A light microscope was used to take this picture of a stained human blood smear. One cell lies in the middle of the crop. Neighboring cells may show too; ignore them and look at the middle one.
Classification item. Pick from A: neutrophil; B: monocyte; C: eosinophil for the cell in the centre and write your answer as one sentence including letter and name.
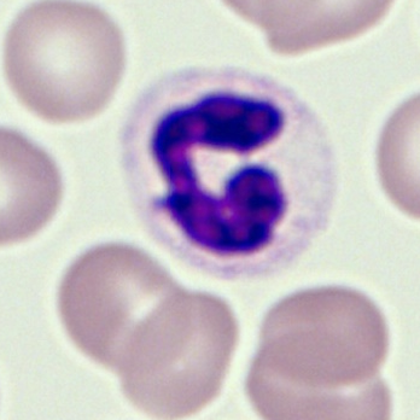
Option A is correct in that the central cell is a neutrophil.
